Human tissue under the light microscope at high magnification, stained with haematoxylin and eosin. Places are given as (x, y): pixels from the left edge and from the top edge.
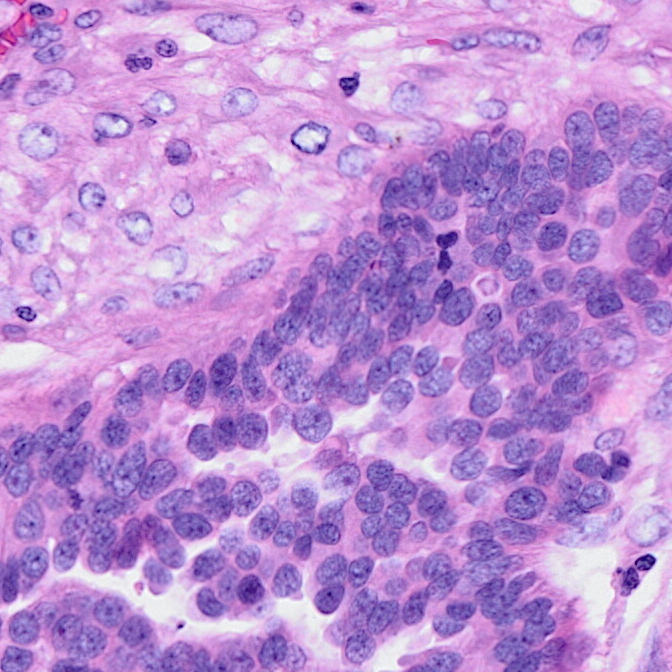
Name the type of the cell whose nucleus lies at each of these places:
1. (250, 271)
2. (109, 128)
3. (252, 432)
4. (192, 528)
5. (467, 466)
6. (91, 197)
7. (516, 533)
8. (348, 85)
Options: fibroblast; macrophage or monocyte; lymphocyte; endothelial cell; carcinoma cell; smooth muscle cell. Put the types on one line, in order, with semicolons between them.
fibroblast; fibroblast; carcinoma cell; carcinoma cell; carcinoma cell; fibroblast; carcinoma cell; lymphocyte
